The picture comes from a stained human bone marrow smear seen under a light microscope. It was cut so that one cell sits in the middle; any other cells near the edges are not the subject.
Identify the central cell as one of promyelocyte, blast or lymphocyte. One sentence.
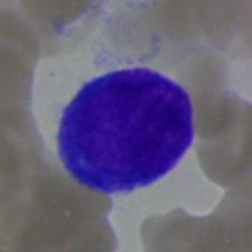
By type, the central cell of the crop is a blast.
